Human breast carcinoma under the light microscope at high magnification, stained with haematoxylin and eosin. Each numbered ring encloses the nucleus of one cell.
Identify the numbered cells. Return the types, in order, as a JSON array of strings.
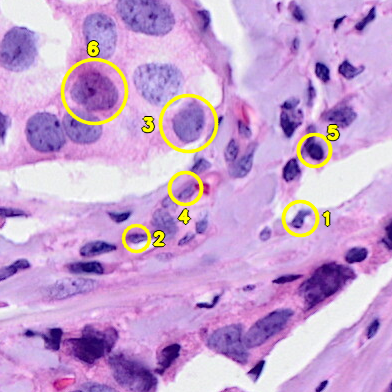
["lymphocyte", "endothelial cell", "carcinoma cell", "endothelial cell", "lymphocyte", "carcinoma cell"]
